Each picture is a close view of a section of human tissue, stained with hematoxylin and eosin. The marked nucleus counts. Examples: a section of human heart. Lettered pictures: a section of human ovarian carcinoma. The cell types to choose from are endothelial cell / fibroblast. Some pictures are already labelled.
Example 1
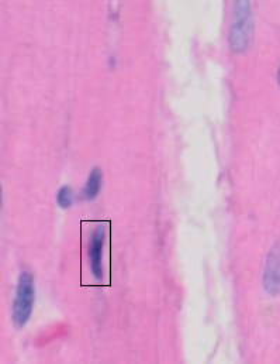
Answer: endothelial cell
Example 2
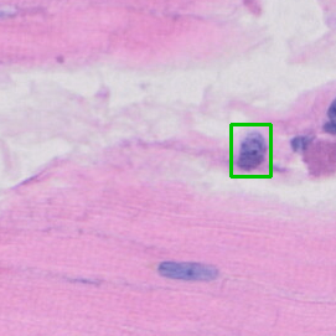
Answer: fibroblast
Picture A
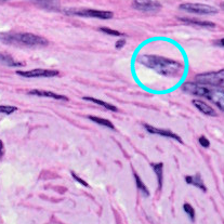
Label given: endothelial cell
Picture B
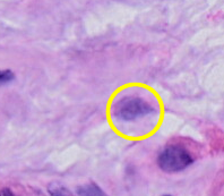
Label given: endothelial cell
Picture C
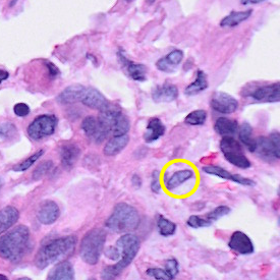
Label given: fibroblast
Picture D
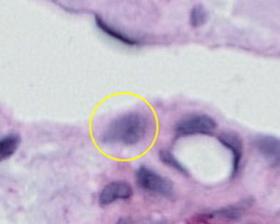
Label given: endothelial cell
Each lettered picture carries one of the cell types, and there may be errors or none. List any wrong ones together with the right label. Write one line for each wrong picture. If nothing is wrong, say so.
A: change endothelial cell to fibroblast
B: change endothelial cell to fibroblast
